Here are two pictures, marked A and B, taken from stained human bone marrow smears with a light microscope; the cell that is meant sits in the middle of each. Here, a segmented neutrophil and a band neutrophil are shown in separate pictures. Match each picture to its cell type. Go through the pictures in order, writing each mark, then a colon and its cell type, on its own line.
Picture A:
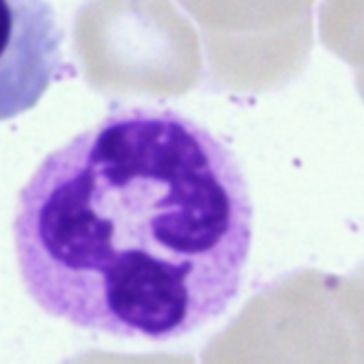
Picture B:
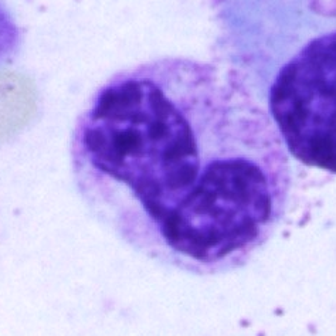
A: segmented neutrophil
B: band neutrophil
